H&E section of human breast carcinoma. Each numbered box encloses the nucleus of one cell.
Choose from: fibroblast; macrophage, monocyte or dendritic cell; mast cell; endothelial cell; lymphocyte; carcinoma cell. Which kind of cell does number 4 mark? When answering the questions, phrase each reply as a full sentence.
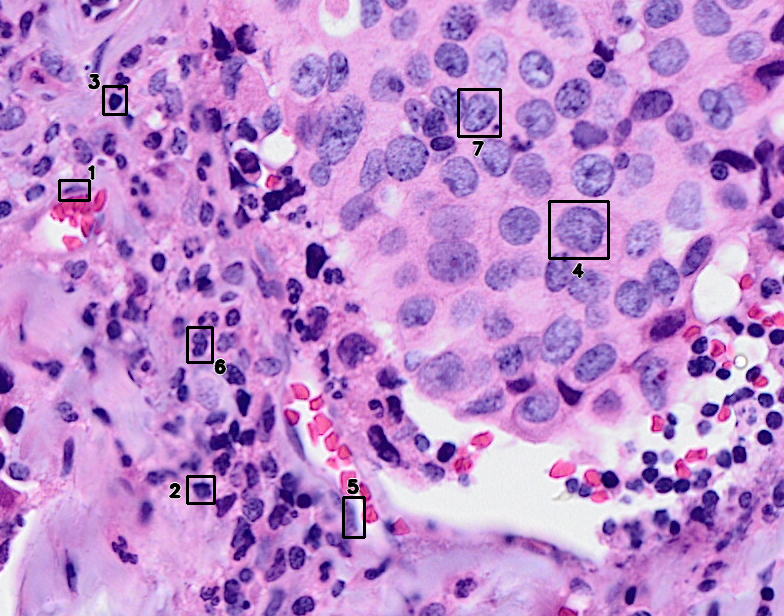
The cell marked with the number 4 is a carcinoma cell.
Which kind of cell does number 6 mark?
Looking at the numbered marks, cell 6 is a lymphocyte.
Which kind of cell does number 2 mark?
At number 2, the marked cell is a lymphocyte.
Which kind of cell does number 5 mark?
The expected answer is that cell 5 is an endothelial cell.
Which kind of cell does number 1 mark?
The cell with the number 1 is an endothelial cell.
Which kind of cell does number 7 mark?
The nucleus with number 7 is that of a carcinoma cell.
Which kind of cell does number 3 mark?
The nucleus labelled 3 belongs to a lymphocyte.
